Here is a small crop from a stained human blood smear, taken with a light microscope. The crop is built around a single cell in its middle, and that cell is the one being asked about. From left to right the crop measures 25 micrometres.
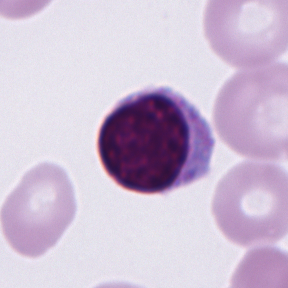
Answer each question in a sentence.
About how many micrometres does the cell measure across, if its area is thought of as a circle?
It measures about 10 micrometres across.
